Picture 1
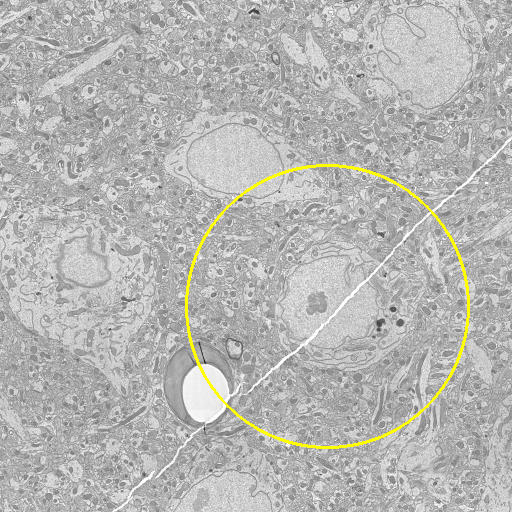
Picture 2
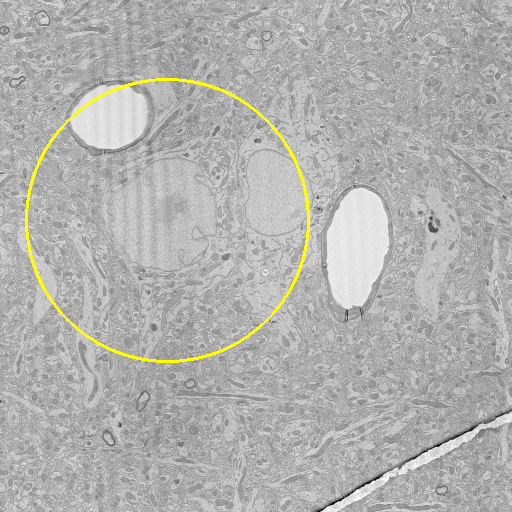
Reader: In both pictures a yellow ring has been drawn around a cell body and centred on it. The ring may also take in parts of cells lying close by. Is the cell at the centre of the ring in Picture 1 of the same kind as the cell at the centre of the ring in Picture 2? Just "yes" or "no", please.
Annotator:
yes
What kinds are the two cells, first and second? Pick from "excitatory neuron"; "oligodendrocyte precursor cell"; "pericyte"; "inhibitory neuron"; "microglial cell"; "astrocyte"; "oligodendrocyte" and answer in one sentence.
The ring centre holds an inhibitory neuron in each of the two pictures.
